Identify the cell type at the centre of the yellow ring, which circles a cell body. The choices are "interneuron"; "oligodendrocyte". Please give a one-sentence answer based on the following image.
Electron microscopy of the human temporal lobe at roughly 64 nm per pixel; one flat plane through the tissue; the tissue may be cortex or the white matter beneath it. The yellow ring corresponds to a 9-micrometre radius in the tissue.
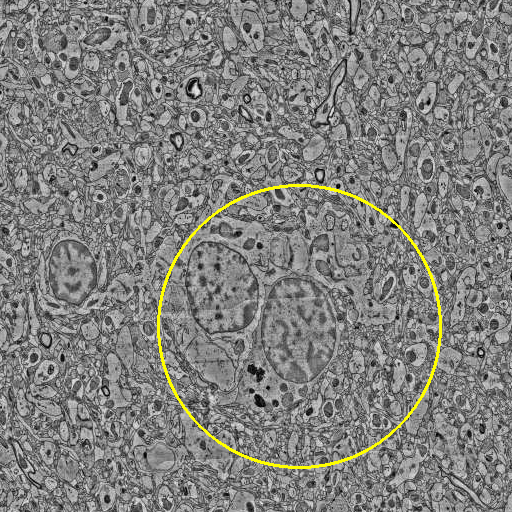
The cell marked by the ring is an oligodendrocyte.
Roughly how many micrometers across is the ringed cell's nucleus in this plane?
The nucleus of the ringed cell is approximately 7 by 5 micrometres in this plane.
